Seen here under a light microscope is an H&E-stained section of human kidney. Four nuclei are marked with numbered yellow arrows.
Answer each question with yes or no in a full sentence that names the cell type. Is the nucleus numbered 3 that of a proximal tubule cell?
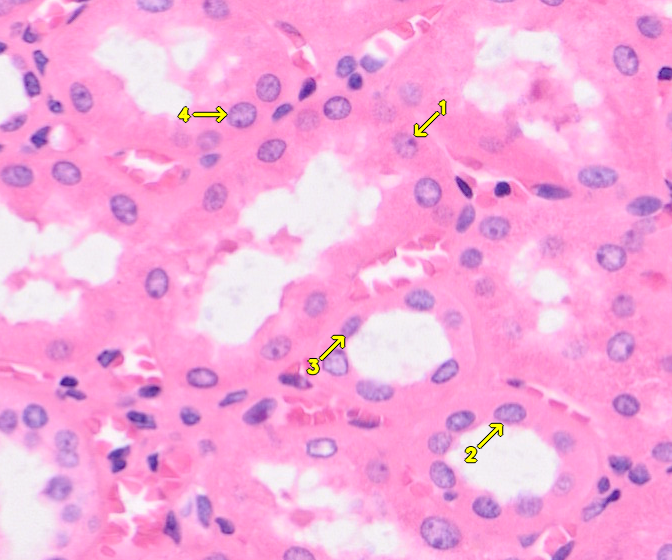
No, cell 3 should be classed as a loop of Henle or distal tubule cell, not as a proximal tubule cell.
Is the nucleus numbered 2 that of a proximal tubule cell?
No, the cell under number 2 is a loop of Henle or distal tubule cell instead of a proximal tubule cell.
